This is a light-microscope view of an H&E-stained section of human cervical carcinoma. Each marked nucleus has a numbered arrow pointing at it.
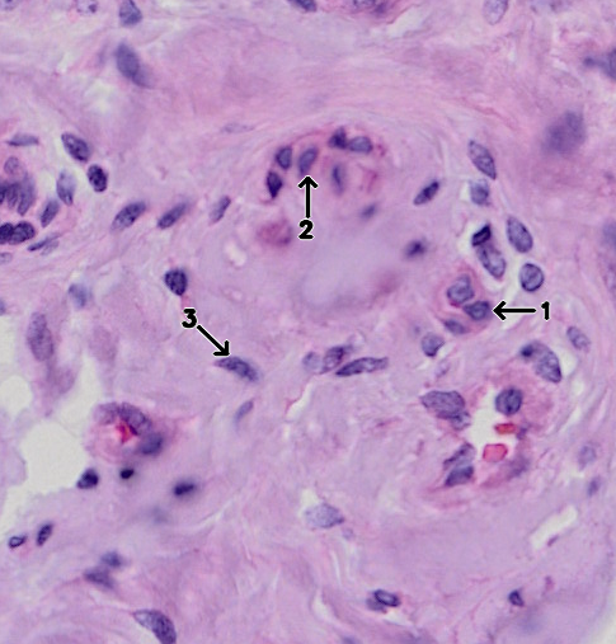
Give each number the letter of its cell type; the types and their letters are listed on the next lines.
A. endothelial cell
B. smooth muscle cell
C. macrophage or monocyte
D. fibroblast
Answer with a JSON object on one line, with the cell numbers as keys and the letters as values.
{"1": "A", "2": "B", "3": "D"}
